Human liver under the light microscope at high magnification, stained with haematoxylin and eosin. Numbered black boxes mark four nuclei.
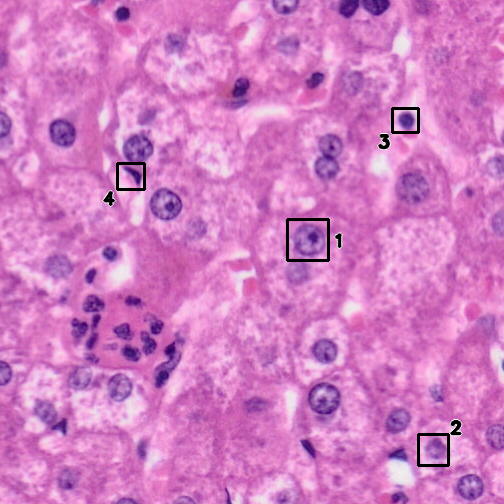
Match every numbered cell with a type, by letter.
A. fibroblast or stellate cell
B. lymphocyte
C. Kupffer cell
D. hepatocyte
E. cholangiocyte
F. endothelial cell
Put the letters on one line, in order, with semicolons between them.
D; D; B; F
